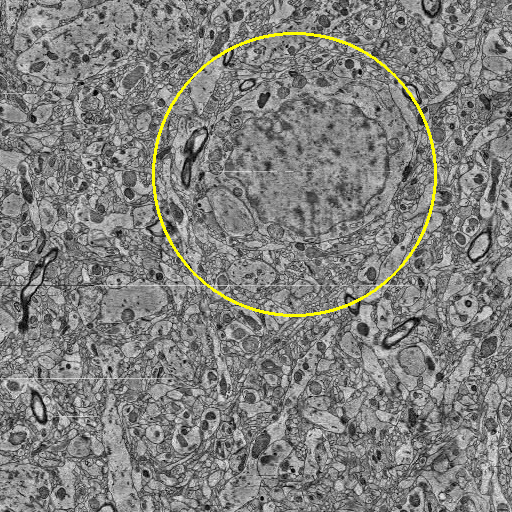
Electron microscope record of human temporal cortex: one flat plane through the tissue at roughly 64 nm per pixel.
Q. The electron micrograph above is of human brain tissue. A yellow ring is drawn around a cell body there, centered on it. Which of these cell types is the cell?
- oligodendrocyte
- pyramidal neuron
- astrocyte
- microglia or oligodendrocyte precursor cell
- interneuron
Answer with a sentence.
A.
The cell under the ring's center is an interneuron.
